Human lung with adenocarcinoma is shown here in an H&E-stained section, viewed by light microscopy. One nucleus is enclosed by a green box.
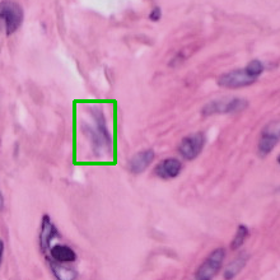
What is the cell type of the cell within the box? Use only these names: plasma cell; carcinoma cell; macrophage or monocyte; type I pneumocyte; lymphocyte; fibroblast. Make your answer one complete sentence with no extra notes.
Right, so the cell within the box is a fibroblast, to answer that.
